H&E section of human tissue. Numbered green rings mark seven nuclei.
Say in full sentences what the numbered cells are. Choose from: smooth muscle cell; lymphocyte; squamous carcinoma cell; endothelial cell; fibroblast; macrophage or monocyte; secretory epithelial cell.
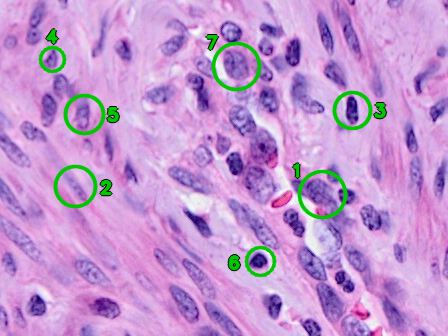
Cell 1 is an endothelial cell, cell 2 is a smooth muscle cell, cell 3 is a lymphocyte, cell 4 is a smooth muscle cell, cell 5 is a smooth muscle cell, cell 6 is a lymphocyte and cell 7 is an endothelial cell.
